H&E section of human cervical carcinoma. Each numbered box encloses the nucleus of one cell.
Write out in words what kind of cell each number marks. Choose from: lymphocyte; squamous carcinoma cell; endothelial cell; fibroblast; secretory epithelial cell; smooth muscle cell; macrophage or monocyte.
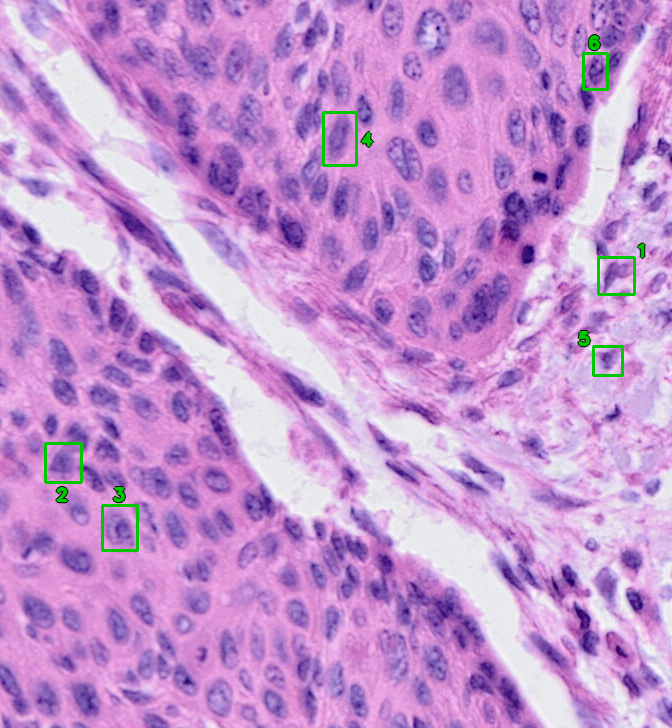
Cells 1 and 5 are fibroblasts. Cells 2, 3, 4 and 6 are squamous carcinoma cells.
